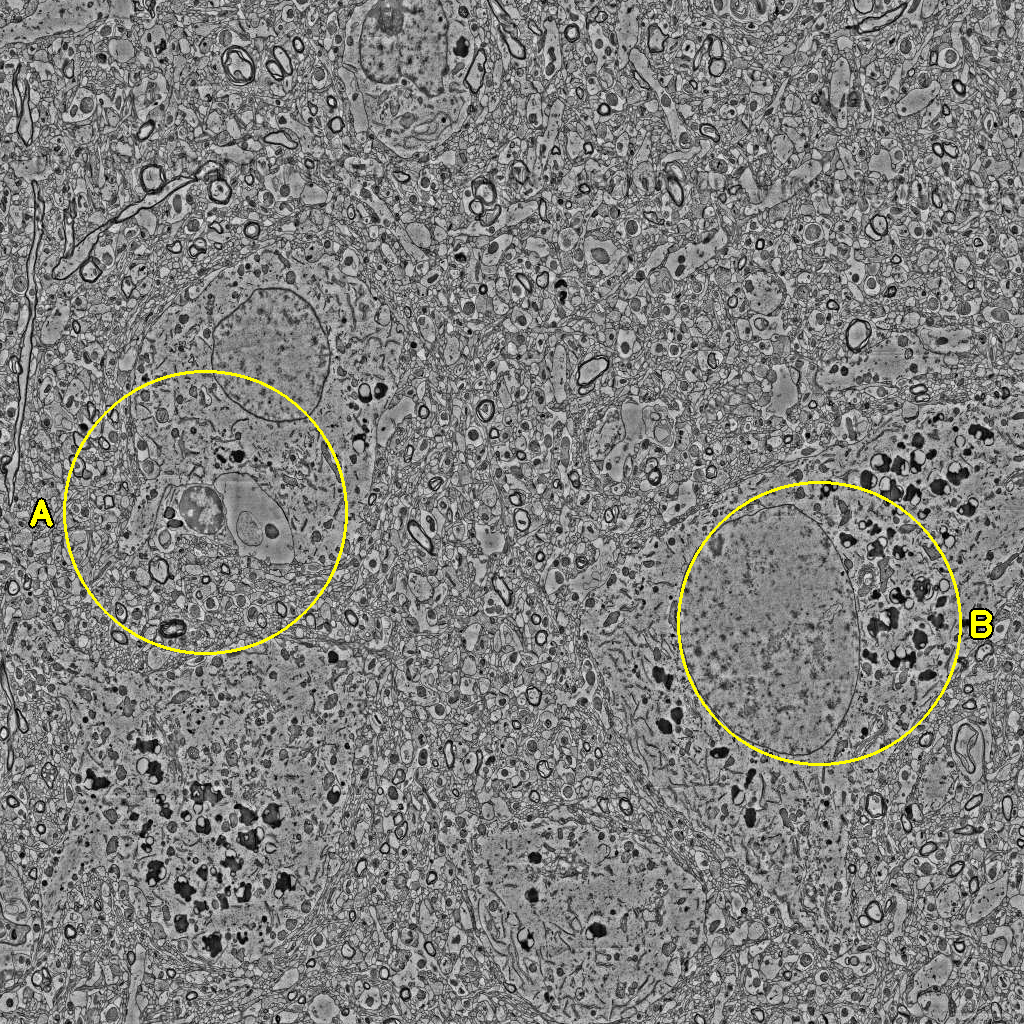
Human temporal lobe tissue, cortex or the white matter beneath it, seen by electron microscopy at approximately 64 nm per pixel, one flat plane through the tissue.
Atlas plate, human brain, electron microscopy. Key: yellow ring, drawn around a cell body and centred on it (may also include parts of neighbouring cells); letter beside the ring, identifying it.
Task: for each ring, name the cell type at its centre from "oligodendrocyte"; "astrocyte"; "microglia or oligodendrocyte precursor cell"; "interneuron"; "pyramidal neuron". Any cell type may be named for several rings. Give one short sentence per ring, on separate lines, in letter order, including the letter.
Ring A is centred over a microglial cell or oligodendrocyte precursor cell.
Ring B is centred over a pyramidal neuron.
